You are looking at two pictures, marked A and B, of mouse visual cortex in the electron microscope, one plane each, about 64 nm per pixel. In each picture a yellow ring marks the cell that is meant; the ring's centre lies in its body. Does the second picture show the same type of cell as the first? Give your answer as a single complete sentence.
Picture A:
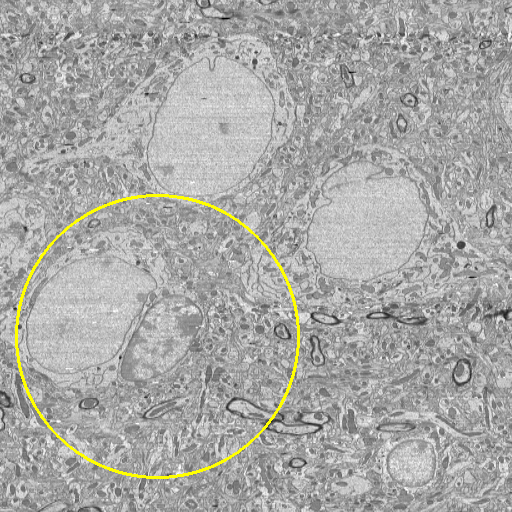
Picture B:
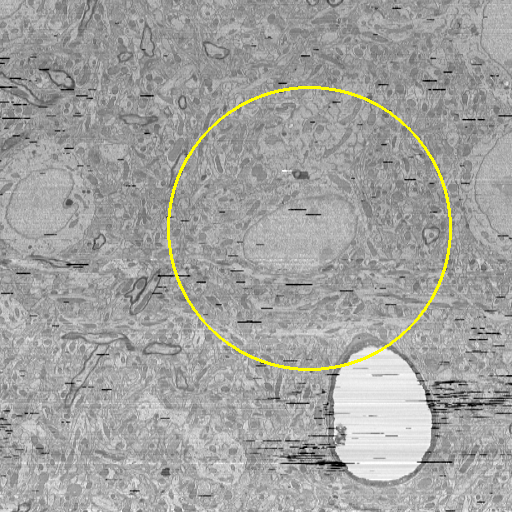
No. Picture A shows an oligodendrocyte, but picture B shows an astrocyte.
